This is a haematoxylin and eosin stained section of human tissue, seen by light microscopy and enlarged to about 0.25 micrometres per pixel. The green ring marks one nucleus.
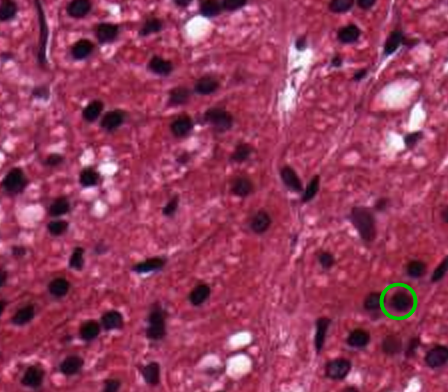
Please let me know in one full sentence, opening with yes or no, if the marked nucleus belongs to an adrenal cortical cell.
Yes, it is within an adrenal cortical cell that the marked nucleus lies.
